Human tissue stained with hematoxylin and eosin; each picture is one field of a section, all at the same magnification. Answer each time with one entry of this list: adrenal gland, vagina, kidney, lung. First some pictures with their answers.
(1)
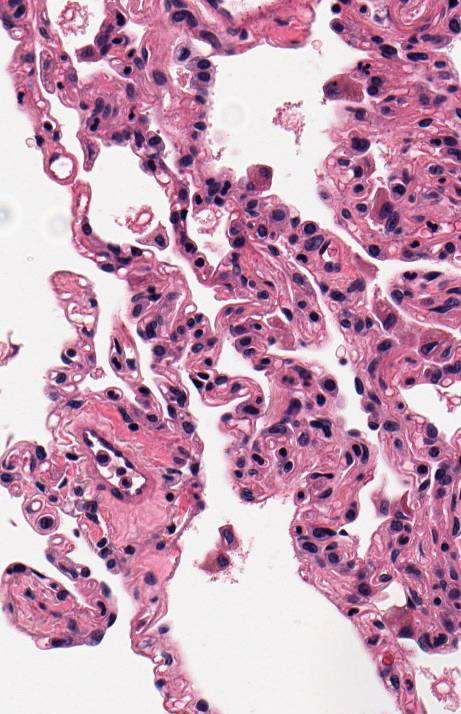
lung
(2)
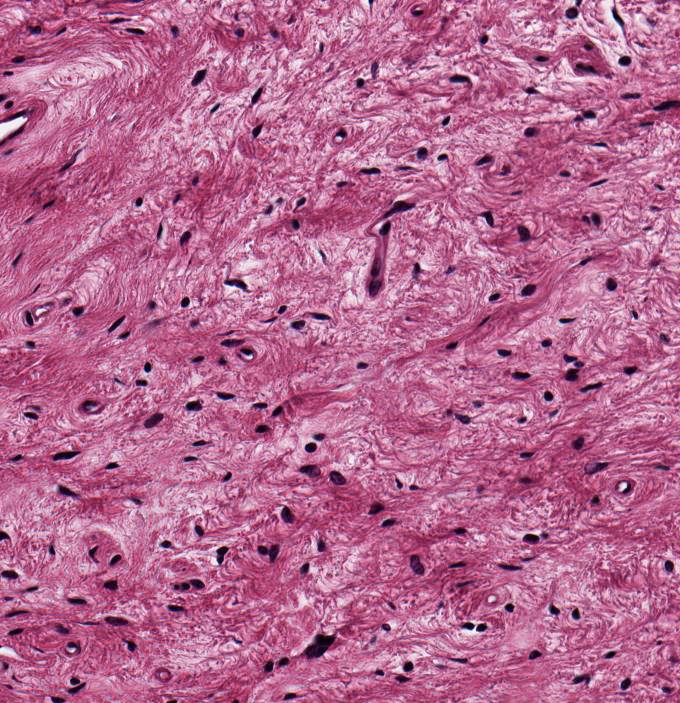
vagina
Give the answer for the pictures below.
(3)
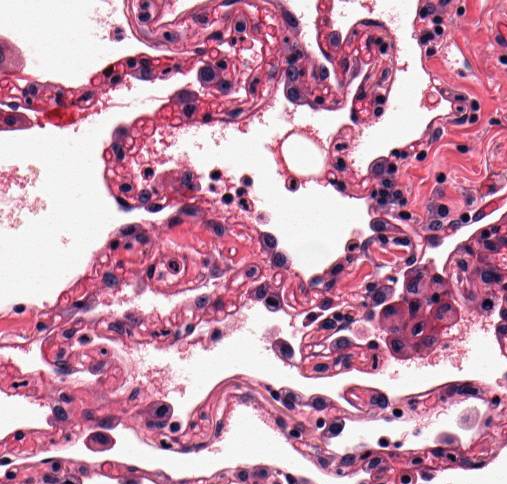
lung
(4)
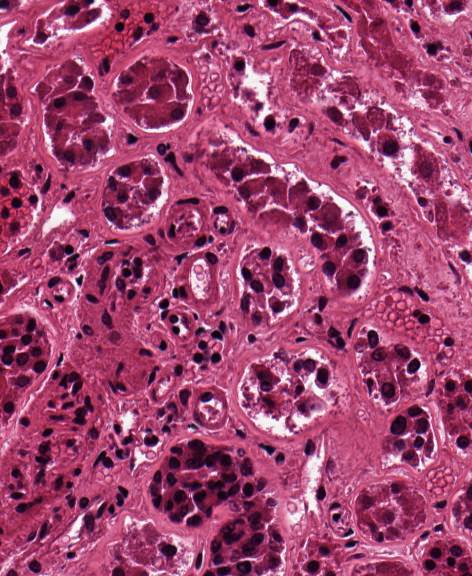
kidney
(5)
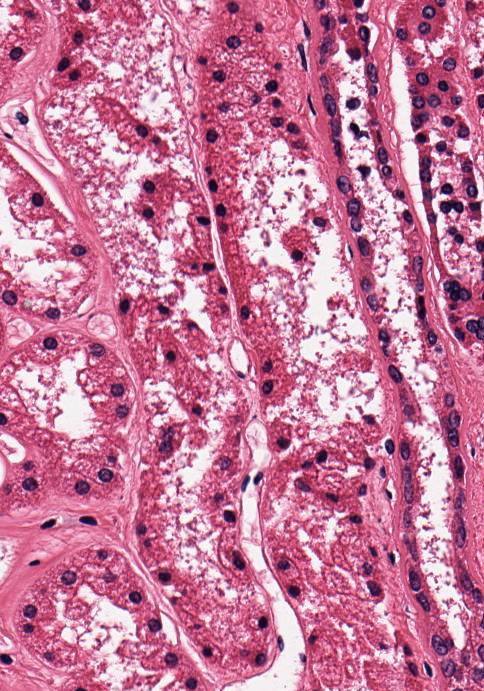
kidney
